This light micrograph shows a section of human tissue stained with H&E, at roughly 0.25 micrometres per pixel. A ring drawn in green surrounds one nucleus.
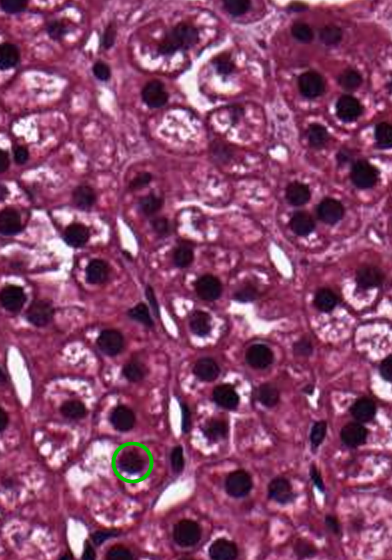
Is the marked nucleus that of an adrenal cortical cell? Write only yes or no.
yes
